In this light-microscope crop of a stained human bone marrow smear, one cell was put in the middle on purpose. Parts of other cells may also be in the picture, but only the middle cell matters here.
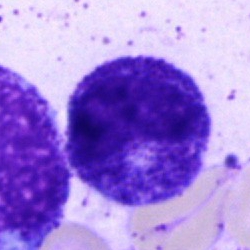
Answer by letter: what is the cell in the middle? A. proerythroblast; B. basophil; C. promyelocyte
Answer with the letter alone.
C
